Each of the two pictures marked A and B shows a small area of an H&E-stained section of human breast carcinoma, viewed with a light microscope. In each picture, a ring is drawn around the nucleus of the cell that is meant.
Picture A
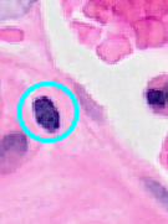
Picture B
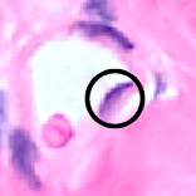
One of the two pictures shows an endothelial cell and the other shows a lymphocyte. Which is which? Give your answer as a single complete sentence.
In picture A the cell is a lymphocyte; in picture B, an endothelial cell.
